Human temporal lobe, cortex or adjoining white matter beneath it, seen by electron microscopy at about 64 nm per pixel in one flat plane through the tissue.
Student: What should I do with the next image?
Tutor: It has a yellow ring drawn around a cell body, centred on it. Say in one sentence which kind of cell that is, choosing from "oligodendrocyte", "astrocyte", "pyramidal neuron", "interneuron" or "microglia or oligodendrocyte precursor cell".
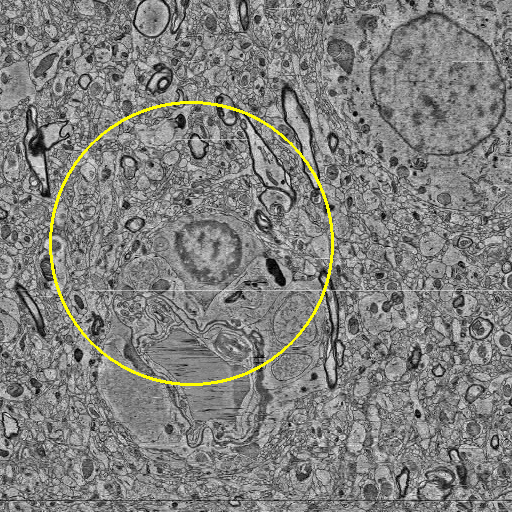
The ring's centre is occupied by an oligodendrocyte.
